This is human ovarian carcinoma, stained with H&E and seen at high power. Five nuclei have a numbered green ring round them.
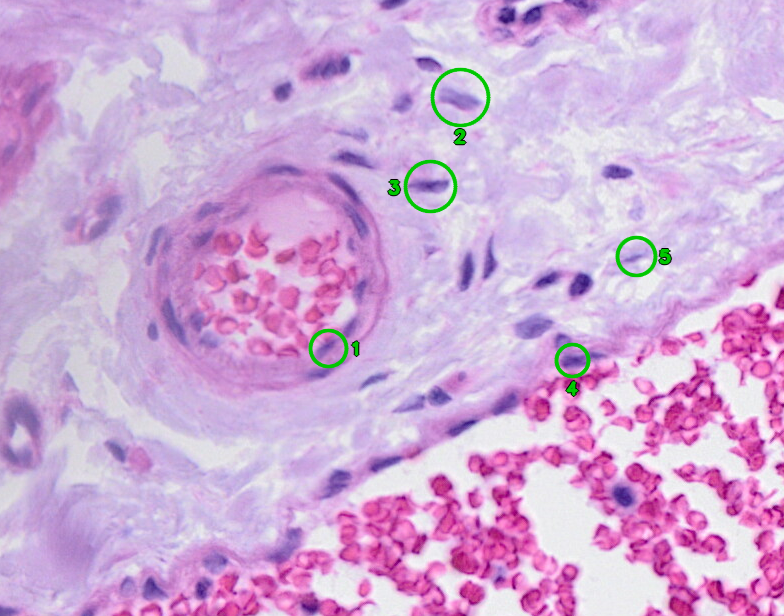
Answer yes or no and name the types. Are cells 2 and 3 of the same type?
Yes, both are fibroblasts.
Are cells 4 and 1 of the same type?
Yes, both are endothelial cells.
